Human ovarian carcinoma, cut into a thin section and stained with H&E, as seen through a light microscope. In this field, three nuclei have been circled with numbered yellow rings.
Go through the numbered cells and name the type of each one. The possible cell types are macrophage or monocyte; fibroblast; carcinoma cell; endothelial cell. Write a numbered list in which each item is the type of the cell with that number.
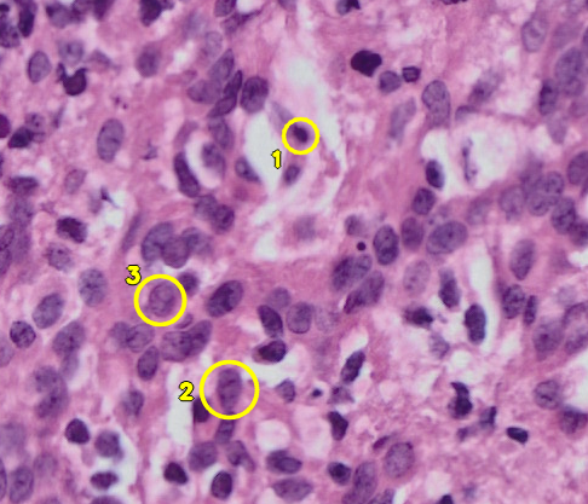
1. fibroblast
2. carcinoma cell
3. carcinoma cell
